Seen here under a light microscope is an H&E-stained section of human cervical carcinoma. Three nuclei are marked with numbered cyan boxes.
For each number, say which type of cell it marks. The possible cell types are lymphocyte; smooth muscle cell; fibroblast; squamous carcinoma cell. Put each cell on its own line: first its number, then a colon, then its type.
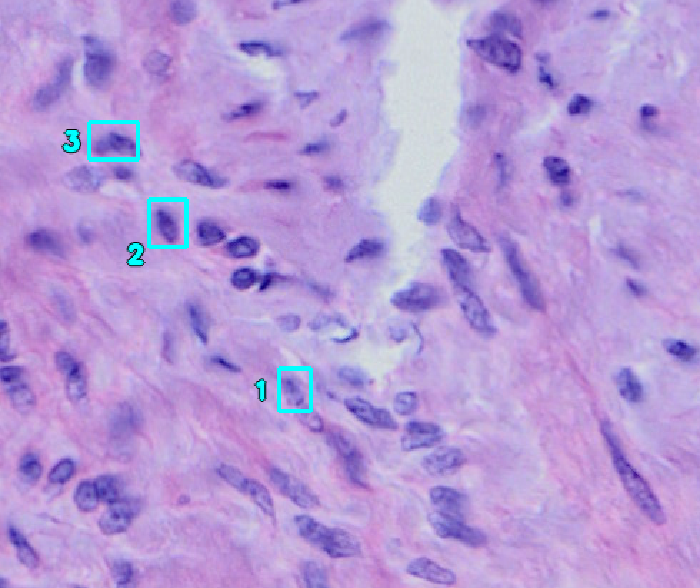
1: smooth muscle cell
2: fibroblast
3: fibroblast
